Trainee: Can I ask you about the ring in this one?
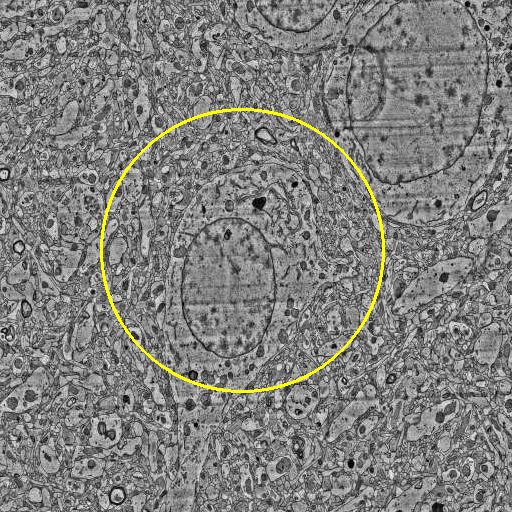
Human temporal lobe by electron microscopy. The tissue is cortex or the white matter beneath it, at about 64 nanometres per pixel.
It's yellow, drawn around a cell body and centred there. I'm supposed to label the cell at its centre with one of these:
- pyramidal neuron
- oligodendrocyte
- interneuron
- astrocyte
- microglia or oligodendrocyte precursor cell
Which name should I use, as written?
pyramidal neuron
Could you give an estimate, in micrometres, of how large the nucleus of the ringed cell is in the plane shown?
In this plane the nucleus is about 9 micrometres by 6.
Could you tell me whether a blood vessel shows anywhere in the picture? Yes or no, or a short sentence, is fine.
No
